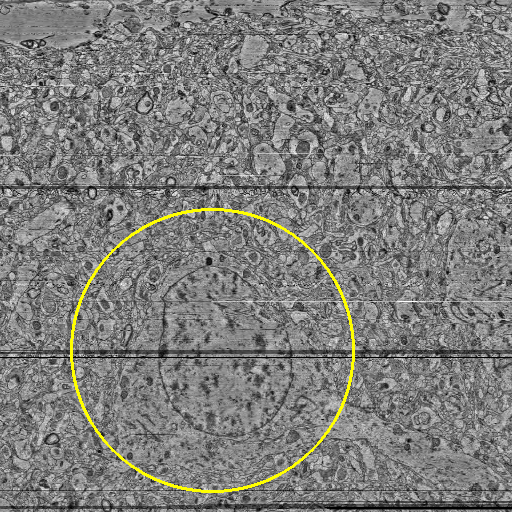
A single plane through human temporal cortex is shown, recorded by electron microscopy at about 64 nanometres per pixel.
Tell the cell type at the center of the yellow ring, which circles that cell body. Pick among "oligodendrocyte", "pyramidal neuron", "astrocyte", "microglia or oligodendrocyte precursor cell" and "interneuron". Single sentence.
The ring is centered on the body of a pyramidal neuron.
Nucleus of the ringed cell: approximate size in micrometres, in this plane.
In this plane, about 12 micrometres in length and 9 in width.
